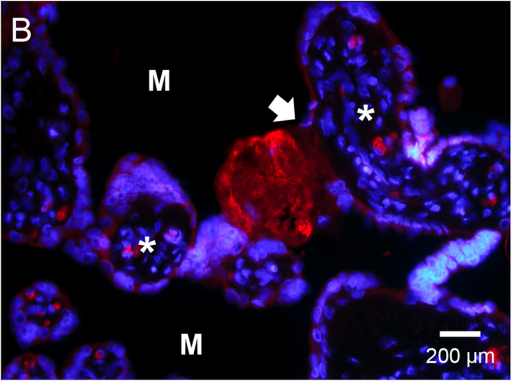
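Here several placental villi are seen in cross-section, their cores packed with blue nuclei and bordered by a thin outer layer. Where the arrow points, the outer covering layer of the adjacent villus meets this mass and appears interrupted. The wide dark areas around the villi are the intervillous space.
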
